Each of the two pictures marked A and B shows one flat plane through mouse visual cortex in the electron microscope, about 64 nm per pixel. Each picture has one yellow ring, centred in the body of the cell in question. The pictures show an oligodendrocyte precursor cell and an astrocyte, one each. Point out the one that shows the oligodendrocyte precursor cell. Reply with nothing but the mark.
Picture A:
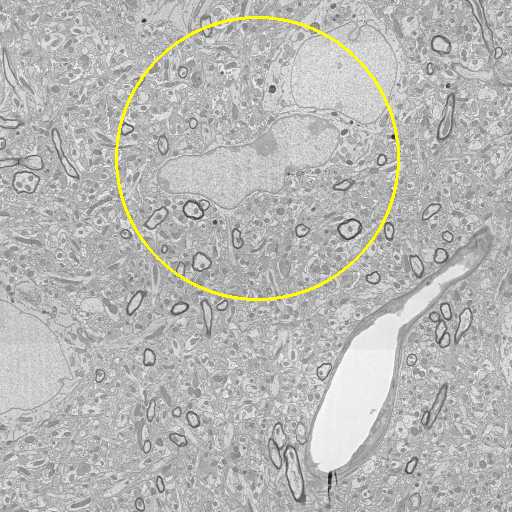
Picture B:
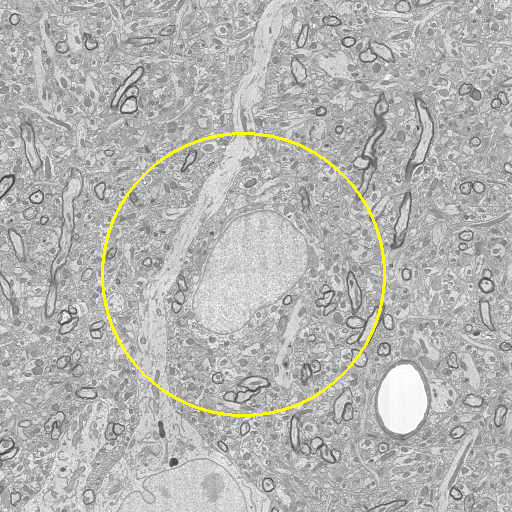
A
